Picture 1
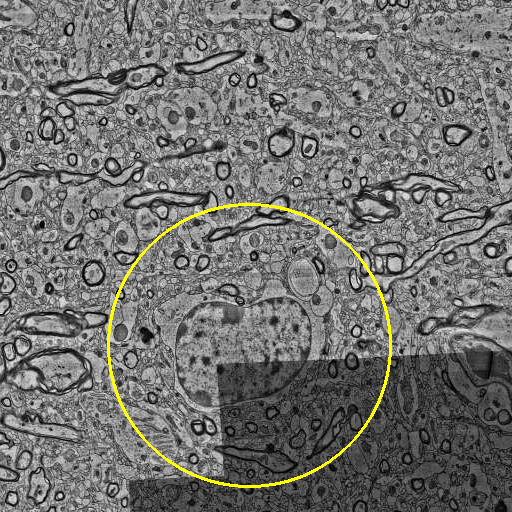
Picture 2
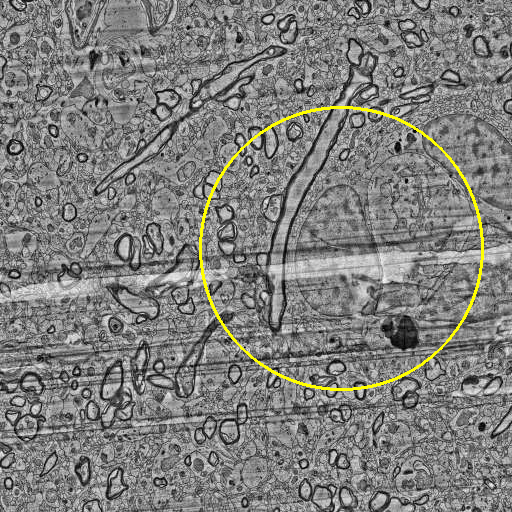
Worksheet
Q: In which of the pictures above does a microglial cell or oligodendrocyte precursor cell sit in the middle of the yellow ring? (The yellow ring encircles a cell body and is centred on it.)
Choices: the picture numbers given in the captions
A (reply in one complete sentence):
In picture 1, the cell sitting at the centre of the ring is the match.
